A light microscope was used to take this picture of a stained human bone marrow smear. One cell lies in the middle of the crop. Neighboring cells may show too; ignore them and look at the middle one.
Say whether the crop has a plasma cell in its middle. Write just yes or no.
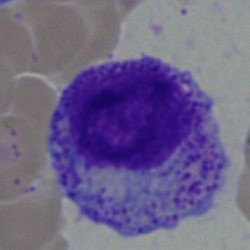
no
